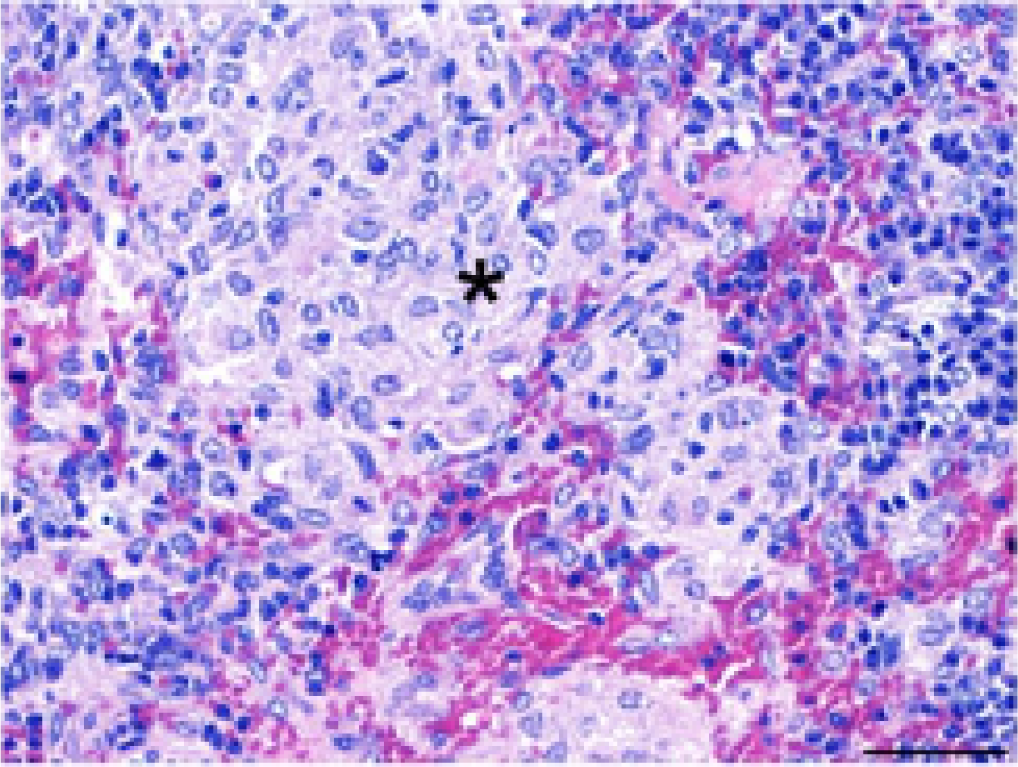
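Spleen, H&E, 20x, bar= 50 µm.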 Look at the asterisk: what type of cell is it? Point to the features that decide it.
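Epithelioid macrophages. A cluster of large cells with abundant pale pink cytoplasm surrounds the asterisk. Their nuclei are oval and pale, unlike the small dark lymphocyte nuclei at the right.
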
